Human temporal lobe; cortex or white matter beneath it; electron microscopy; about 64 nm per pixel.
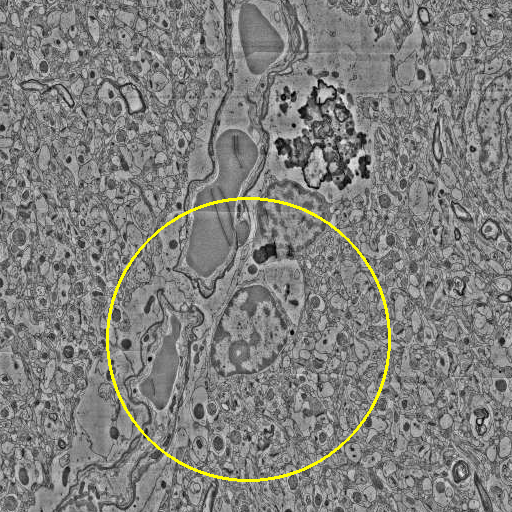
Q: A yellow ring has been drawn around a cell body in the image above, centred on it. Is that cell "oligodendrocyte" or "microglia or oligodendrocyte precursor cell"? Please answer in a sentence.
The ring surrounds the cell body of a microglial cell or oligodendrocyte precursor cell.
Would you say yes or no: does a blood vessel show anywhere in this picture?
Yes, a vessel appears in the picture.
